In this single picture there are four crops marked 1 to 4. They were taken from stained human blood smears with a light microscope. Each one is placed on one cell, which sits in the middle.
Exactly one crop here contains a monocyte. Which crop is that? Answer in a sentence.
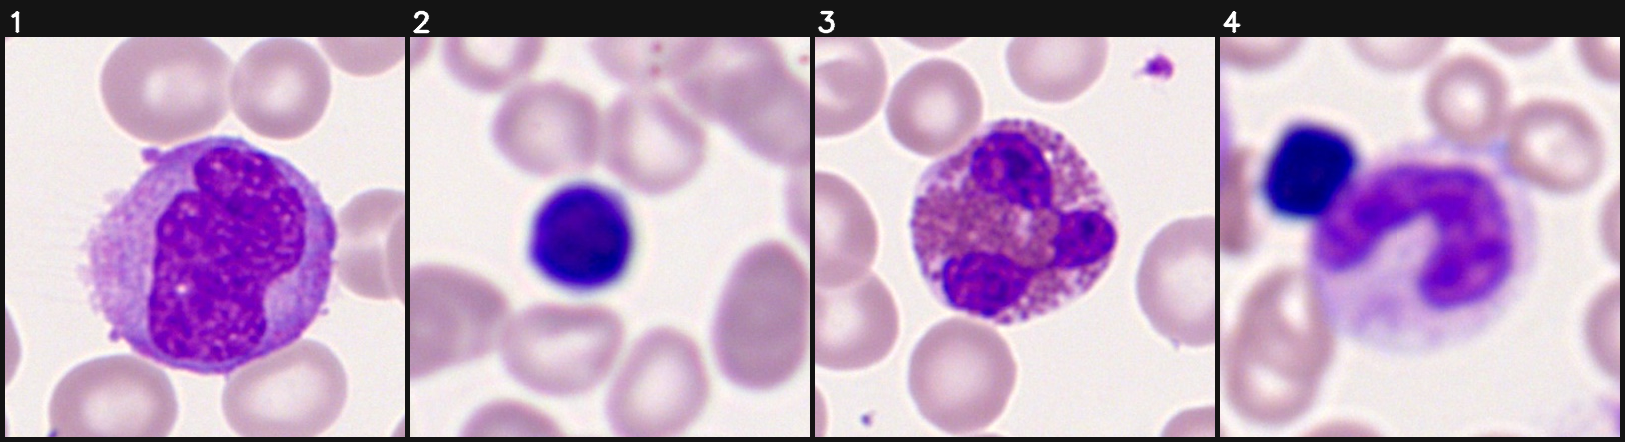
The correct choice is crop 1, the one showing a monocyte.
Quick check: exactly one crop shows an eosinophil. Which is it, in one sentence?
The one showing an eosinophil is crop 3.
